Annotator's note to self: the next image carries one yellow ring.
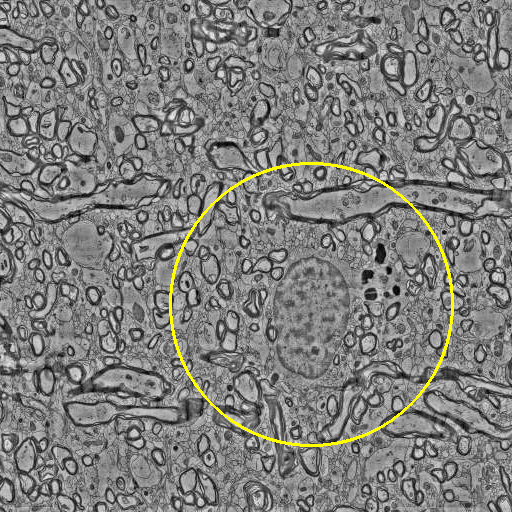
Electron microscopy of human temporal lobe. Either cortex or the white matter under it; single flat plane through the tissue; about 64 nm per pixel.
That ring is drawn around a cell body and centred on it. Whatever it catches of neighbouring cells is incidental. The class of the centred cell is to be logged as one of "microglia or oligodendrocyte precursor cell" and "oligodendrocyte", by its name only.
oligodendrocyte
